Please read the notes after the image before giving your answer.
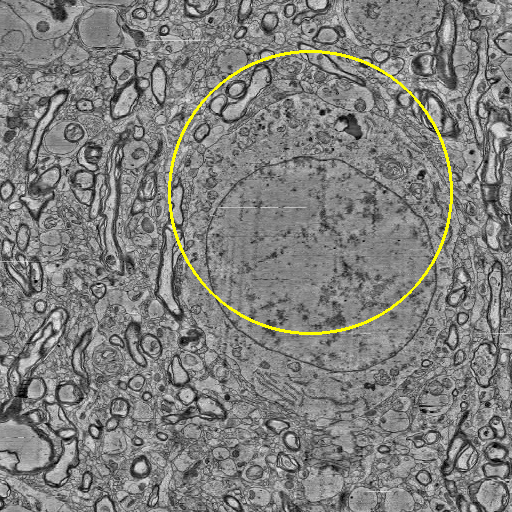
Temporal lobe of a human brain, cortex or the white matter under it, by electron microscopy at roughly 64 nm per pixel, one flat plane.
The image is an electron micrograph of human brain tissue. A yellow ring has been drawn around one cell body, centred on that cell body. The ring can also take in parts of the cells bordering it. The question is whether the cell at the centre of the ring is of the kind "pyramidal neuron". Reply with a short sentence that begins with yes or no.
Yes, the cell at the centre is of that kind.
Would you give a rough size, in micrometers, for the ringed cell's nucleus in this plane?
About 15 micrometres across in this plane, for the nucleus.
